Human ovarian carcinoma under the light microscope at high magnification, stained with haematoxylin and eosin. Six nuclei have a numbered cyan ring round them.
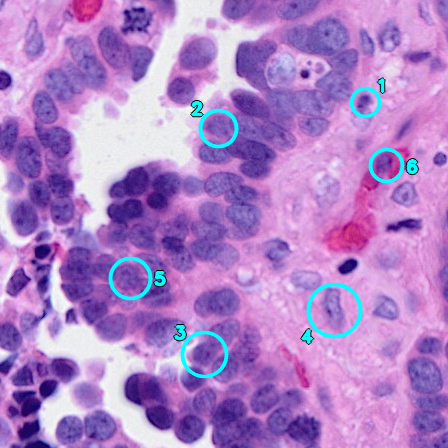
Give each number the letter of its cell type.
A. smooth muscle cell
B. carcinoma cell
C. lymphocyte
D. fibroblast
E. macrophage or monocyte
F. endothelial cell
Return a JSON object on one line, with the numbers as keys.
{"1": "C", "2": "B", "3": "B", "4": "D", "5": "B", "6": "F"}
